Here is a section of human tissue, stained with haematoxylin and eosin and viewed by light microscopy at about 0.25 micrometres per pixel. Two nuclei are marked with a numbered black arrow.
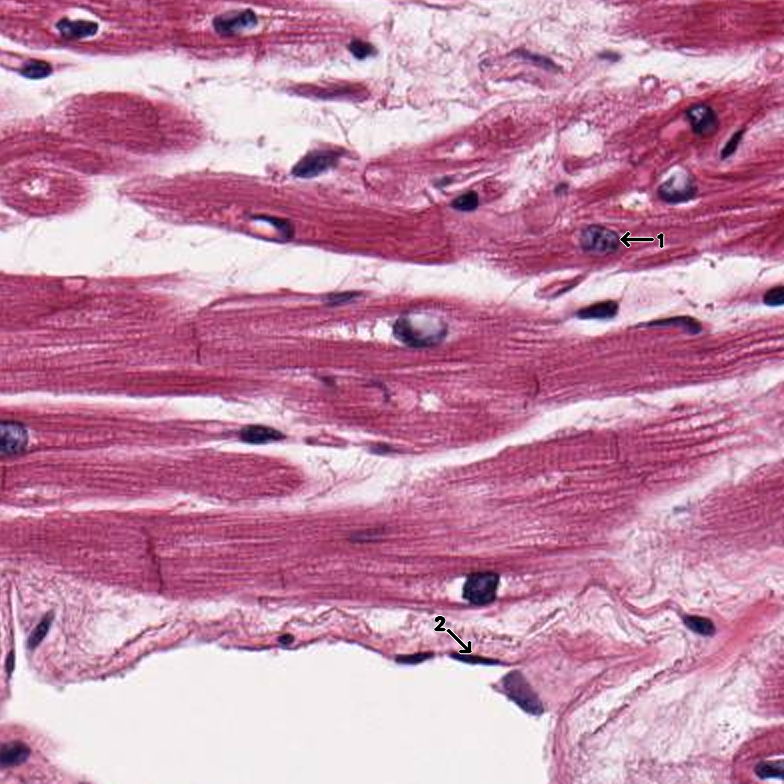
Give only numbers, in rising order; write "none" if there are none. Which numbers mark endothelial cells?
2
